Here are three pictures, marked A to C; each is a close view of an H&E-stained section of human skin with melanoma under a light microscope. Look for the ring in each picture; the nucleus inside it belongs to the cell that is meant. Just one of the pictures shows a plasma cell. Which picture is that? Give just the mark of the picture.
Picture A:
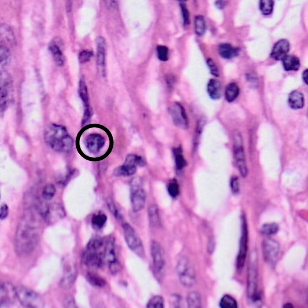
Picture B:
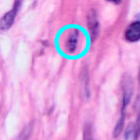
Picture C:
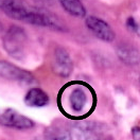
B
